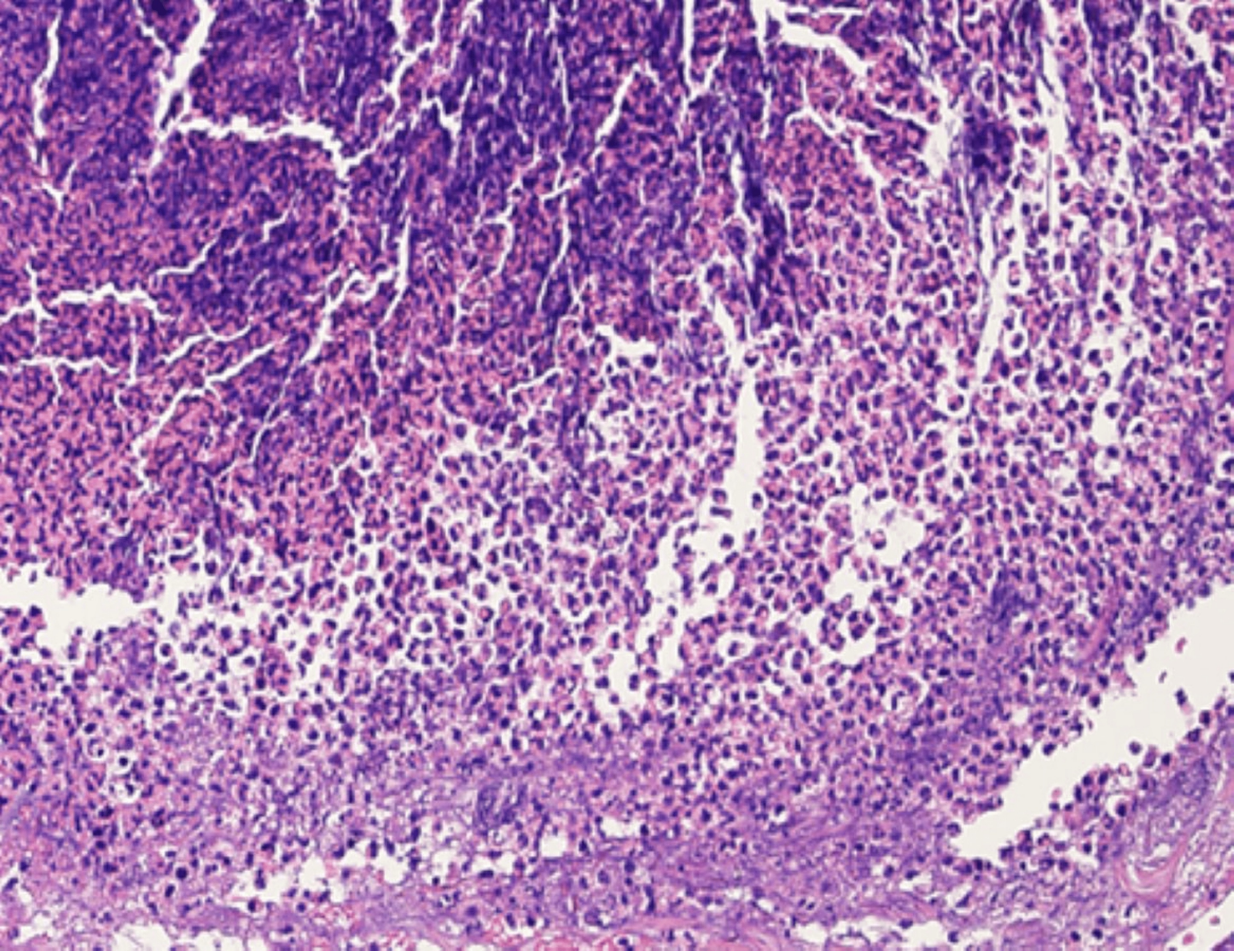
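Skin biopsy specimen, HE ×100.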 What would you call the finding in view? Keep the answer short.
Inflammatory cell infiltration.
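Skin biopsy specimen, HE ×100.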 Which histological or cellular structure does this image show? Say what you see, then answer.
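The upper part is a dense, dark purple-pink compact mass without recognisable intact cell outlines. This mass is cracked by many irregular white clefts. It lies on top of the layer of loosely arranged cells.
Hence: crusts composed of necrotic material.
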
